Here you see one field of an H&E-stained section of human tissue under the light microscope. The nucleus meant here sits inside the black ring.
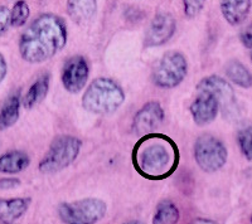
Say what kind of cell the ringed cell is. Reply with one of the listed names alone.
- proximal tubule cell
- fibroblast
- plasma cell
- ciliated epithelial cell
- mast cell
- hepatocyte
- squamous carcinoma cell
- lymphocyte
squamous carcinoma cell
